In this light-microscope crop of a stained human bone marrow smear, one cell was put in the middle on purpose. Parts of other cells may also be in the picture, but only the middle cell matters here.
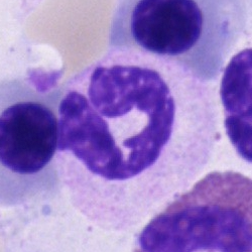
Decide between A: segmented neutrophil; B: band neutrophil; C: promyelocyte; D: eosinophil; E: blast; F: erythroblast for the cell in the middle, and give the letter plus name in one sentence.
Option A gives the correct identity of the central cell, namely a segmented neutrophil.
